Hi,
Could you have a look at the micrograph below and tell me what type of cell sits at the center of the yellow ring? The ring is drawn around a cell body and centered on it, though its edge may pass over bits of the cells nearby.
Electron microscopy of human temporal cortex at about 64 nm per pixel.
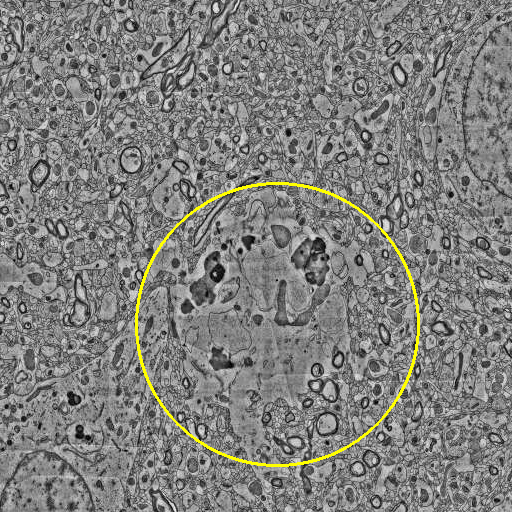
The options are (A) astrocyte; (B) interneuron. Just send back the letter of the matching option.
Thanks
A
